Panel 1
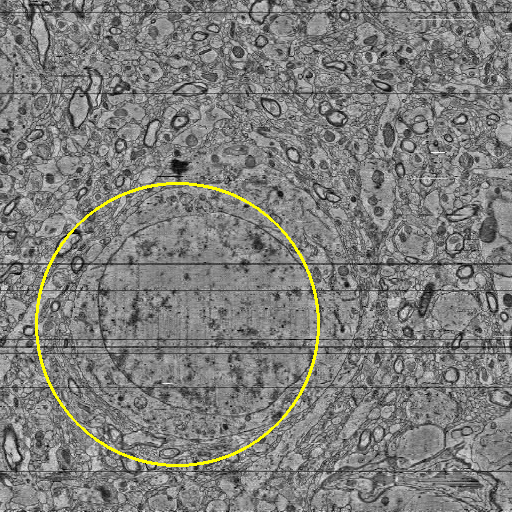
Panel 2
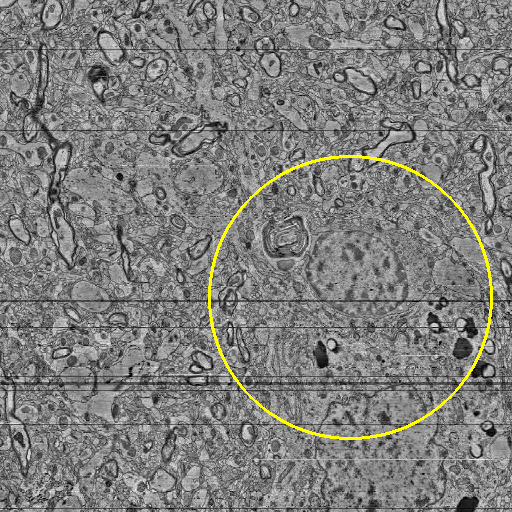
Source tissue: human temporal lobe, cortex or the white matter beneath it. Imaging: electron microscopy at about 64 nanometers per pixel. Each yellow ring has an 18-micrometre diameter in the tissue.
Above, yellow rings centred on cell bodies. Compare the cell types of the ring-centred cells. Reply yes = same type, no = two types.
no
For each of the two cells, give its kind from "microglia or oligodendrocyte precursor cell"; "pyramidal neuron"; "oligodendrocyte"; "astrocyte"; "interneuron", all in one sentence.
The first picture has a pyramidal neuron in its ring, the second has an oligodendrocyte.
